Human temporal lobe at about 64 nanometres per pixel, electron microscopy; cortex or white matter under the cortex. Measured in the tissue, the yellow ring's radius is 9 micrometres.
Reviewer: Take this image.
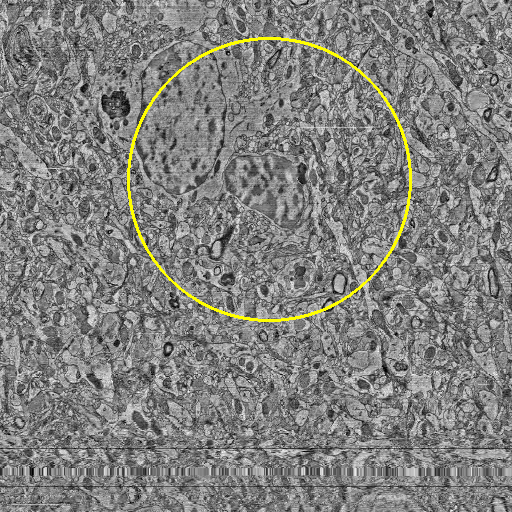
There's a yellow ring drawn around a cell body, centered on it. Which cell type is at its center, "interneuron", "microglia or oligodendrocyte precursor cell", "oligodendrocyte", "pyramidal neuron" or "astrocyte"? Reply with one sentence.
At the center of the yellow ring is a microglial cell or oligodendrocyte precursor cell.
